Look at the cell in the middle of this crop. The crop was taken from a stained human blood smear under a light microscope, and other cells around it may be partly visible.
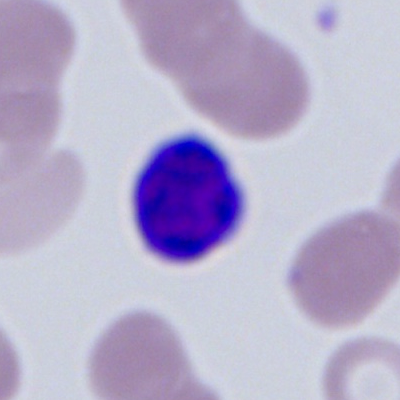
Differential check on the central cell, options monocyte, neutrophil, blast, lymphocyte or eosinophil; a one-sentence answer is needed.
The centrally positioned cell in the crop represents a lymphocyte.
